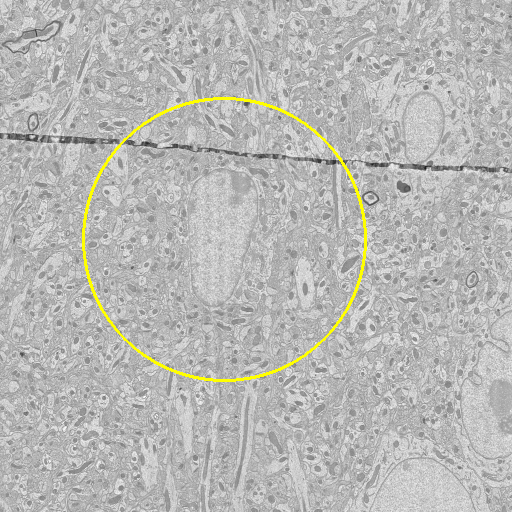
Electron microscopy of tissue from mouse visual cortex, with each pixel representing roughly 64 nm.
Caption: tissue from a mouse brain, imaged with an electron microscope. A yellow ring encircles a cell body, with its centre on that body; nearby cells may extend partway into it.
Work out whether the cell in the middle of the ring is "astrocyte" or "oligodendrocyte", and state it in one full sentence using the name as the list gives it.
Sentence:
In the picture, the cell that the yellow ring surrounds at its centre is an astrocyte.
